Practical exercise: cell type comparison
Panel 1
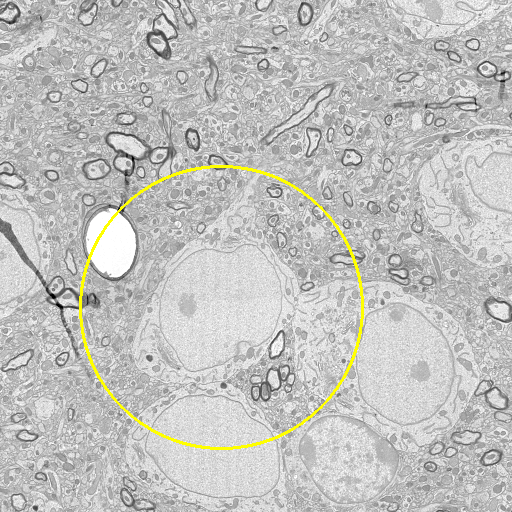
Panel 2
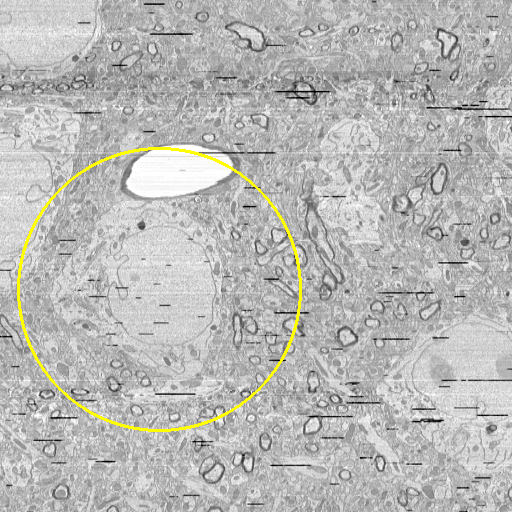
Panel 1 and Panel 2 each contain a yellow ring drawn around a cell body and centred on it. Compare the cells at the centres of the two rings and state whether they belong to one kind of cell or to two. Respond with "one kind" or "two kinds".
one kind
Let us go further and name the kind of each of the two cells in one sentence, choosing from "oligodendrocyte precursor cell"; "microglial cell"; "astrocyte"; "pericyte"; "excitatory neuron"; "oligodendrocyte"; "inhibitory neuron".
Each cell, in the first picture and the second, is an excitatory neuron.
